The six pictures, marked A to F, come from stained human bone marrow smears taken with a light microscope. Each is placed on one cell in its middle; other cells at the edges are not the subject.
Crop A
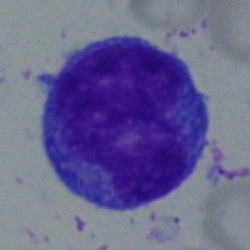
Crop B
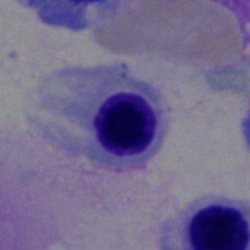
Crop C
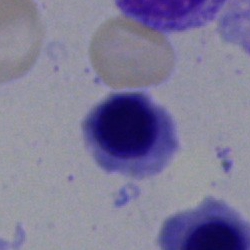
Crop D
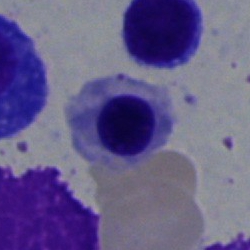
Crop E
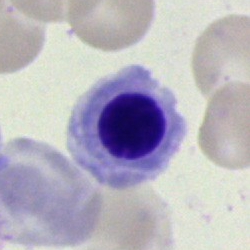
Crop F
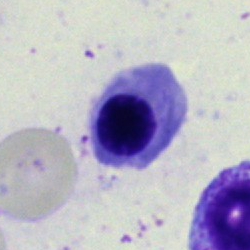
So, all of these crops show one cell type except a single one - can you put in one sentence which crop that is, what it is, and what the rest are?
The exception in this group is crop A, a blast, and the others are all normoblasts.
